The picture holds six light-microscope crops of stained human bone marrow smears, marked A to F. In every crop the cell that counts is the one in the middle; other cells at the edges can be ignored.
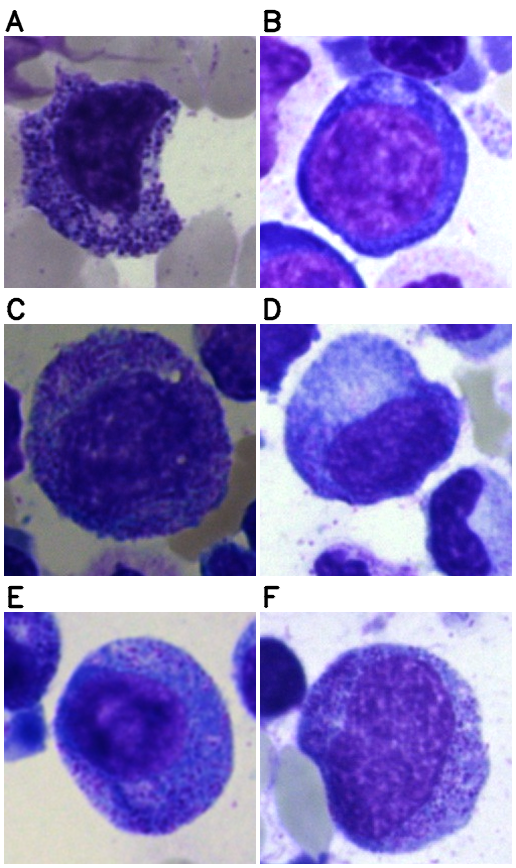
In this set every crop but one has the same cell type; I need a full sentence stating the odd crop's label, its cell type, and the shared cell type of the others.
The remaining crops are all promyelocytes, so crop B, being a proerythroblast, is the exception.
